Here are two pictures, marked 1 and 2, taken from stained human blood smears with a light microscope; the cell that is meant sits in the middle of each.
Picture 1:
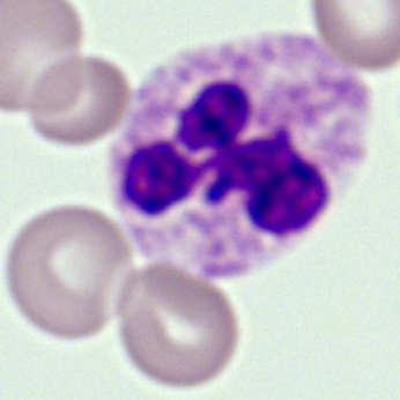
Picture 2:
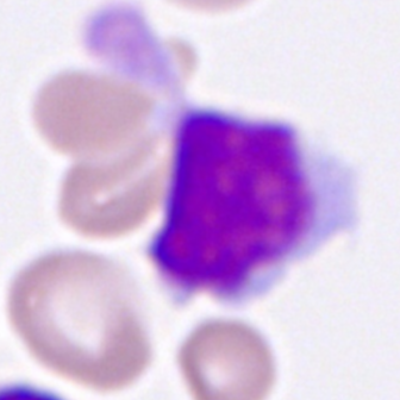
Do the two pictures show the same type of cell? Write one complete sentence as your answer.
No; the cell in picture 1 is a segmented neutrophil, while the one in picture 2 is a lymphocyte.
